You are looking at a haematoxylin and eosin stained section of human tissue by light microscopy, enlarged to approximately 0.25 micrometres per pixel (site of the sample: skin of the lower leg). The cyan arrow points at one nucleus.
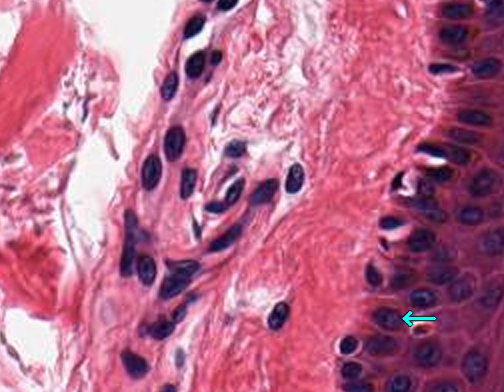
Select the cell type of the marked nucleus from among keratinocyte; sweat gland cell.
keratinocyte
